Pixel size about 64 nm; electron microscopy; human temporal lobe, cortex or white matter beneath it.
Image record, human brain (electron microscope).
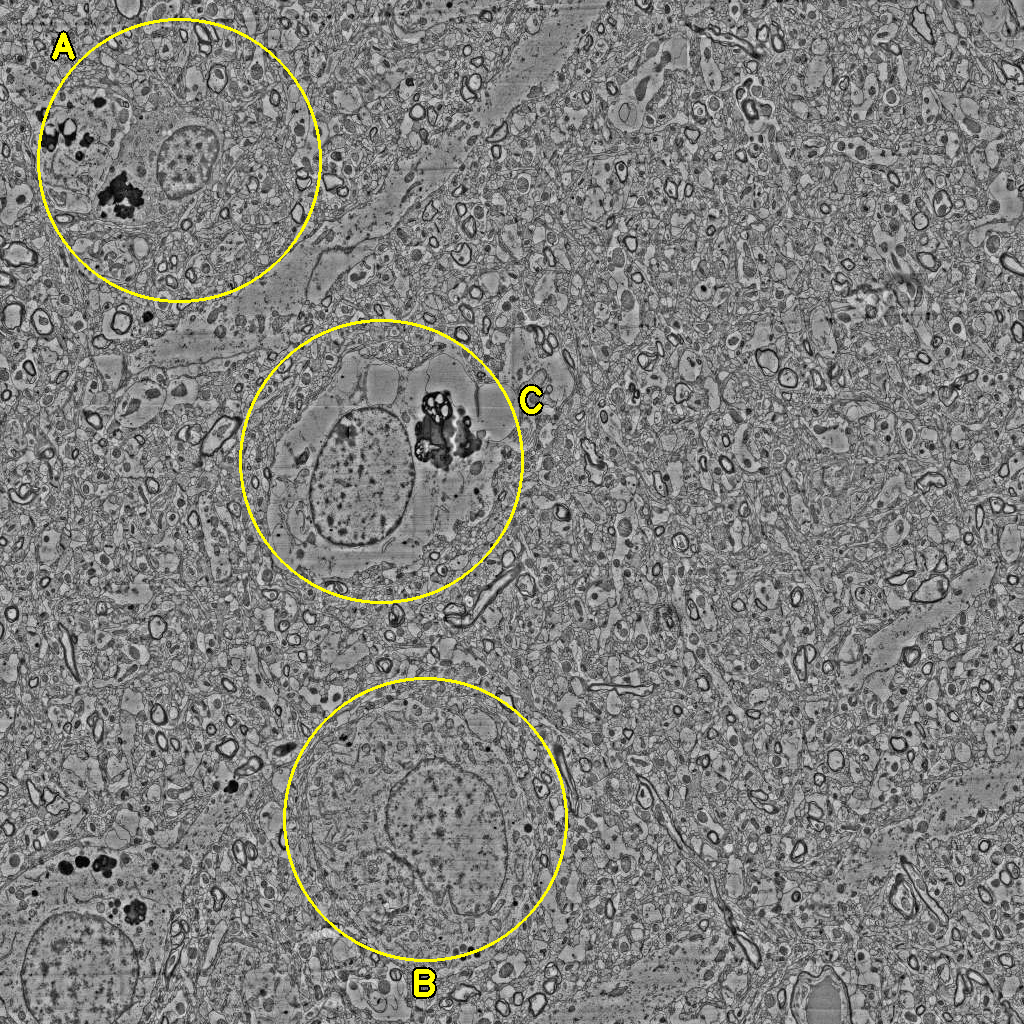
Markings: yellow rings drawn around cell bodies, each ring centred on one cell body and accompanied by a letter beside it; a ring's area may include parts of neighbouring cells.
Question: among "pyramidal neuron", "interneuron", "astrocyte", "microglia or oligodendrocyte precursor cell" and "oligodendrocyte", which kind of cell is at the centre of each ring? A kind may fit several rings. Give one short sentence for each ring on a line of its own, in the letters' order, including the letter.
Ring A is centred on the cell body of an oligodendrocyte.
Ring B is centred on the cell body of an interneuron.
Ring C is centred on the cell body of an astrocyte.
